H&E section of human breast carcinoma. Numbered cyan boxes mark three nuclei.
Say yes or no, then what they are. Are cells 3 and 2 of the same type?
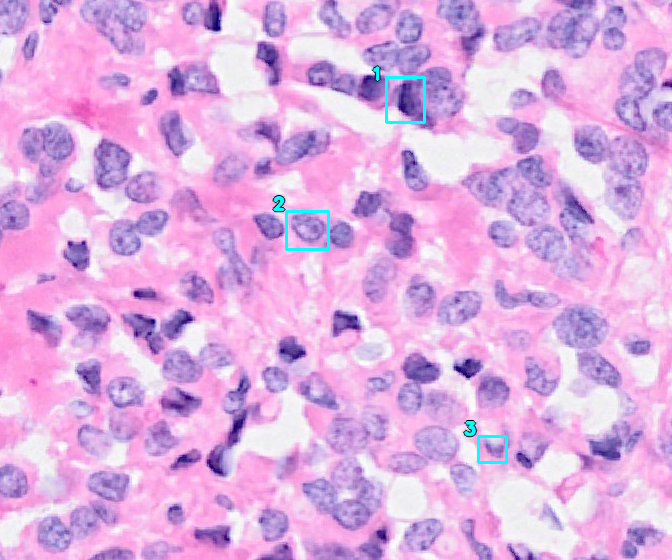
No, the proper labels are an endothelial cell for cell 3 and a carcinoma cell for cell 2.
